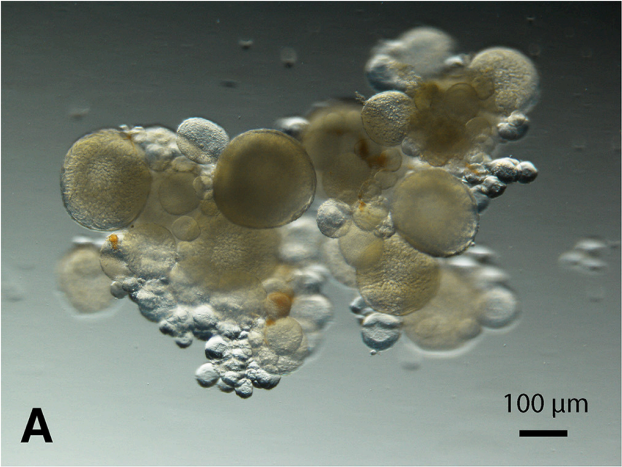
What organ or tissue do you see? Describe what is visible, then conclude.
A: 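A clump of round oocyte-like bodies of very different sizes held together. The larger spheres are yellowish and granular, the smaller ones clear. The answer: Ovarian fragments.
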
